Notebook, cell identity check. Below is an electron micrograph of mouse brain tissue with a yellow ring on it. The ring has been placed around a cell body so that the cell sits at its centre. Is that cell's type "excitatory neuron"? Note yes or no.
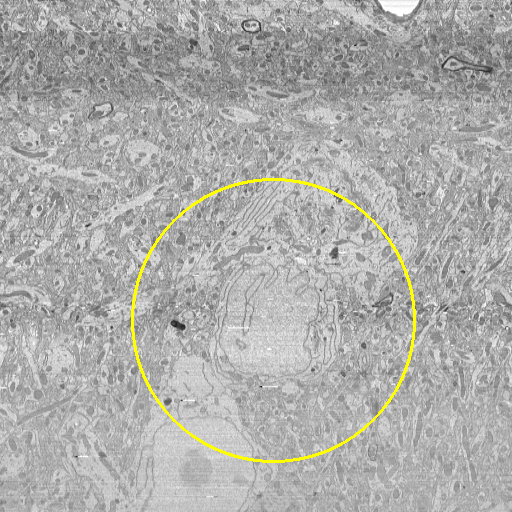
No, its cell type is another one.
